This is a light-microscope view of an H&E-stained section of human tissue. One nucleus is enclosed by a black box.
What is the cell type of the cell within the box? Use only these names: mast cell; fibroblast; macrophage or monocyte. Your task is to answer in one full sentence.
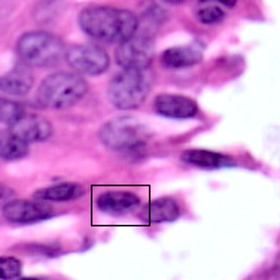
In cellular terms, the cell within the box is a macrophage or monocyte.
